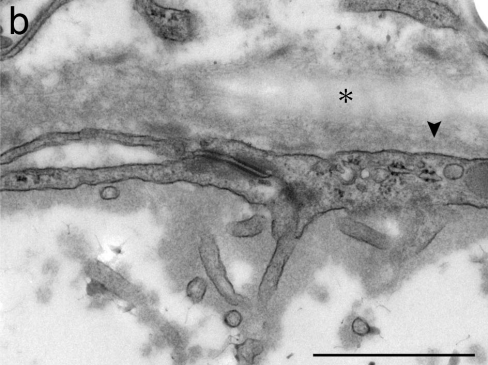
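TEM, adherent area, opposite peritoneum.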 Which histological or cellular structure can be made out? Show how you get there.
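Two thin cell processes meet with a short electron-dense thickening of their apposed membranes.
Answer: Cell-cell junctions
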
